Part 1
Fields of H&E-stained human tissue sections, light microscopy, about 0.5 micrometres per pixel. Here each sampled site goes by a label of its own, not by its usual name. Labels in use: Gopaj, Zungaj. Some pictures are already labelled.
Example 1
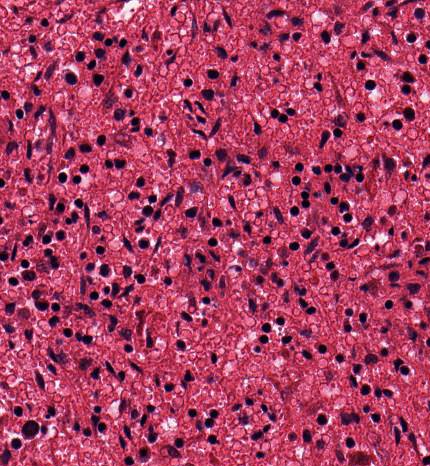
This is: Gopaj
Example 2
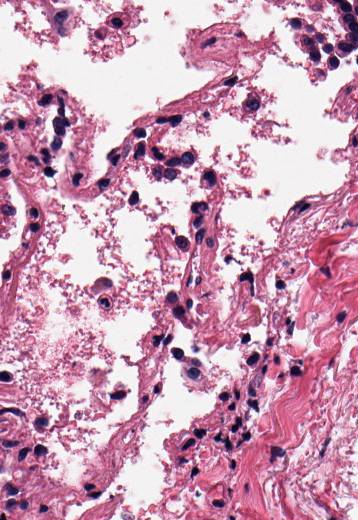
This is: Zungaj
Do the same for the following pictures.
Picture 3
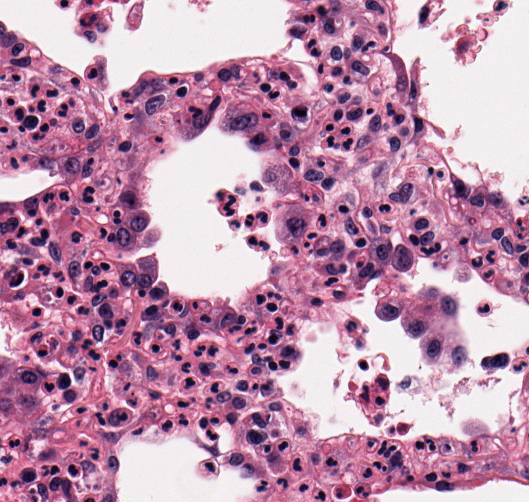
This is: Zungaj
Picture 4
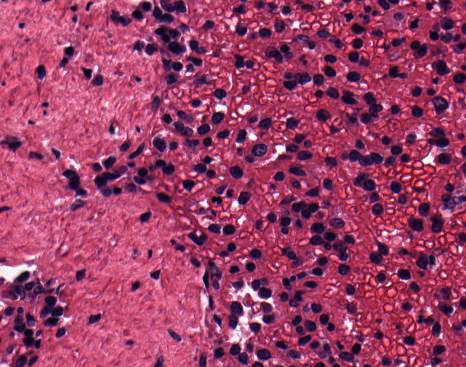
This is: Gopaj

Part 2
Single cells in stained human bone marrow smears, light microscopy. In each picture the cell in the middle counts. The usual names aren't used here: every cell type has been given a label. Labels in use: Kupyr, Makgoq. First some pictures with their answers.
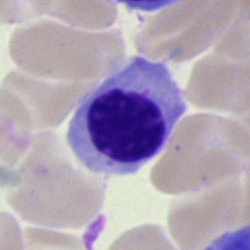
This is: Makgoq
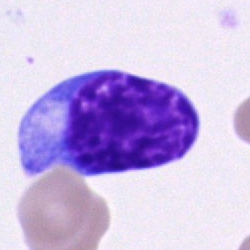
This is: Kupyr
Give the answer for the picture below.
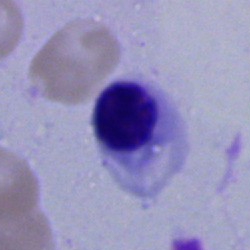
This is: Makgoq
